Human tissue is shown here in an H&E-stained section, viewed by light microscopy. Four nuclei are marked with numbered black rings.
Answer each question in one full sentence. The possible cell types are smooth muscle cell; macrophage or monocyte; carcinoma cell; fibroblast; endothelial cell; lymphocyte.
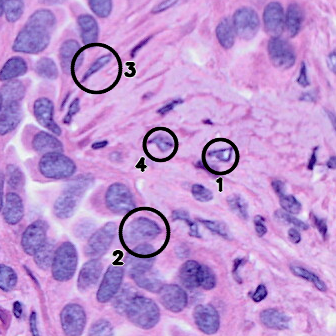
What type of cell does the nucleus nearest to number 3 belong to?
The cell nearest to number 3 is a carcinoma cell.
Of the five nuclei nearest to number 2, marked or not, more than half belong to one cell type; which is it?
Most of the five nuclei nearest to number 2 are those of carcinoma cells.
